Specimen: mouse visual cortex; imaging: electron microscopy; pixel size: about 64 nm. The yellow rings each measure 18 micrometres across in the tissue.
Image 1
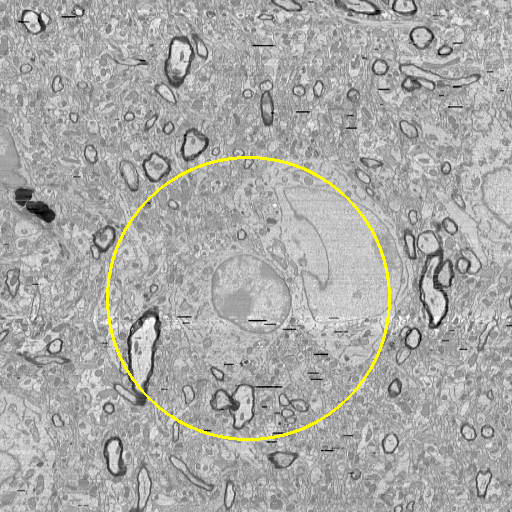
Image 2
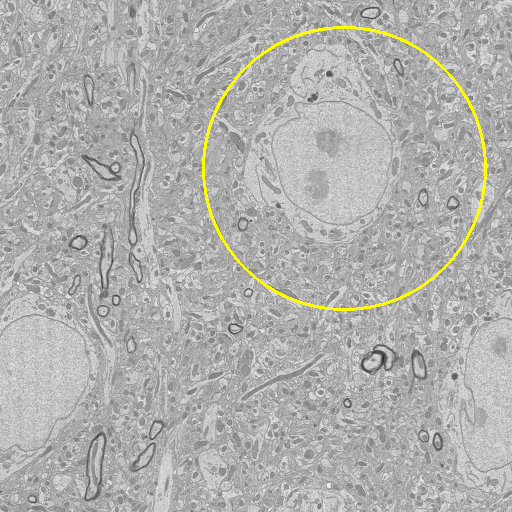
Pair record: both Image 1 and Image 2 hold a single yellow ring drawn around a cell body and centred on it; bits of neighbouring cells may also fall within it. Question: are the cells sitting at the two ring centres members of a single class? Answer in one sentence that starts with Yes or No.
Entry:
No, the ring-centre cells in Image 1 and Image 2 come from two classes.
